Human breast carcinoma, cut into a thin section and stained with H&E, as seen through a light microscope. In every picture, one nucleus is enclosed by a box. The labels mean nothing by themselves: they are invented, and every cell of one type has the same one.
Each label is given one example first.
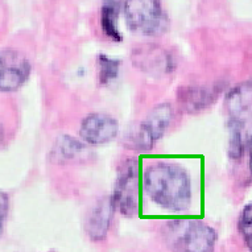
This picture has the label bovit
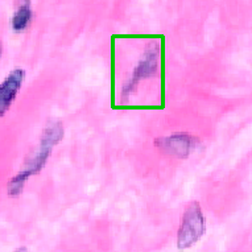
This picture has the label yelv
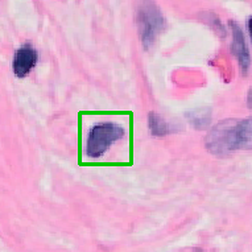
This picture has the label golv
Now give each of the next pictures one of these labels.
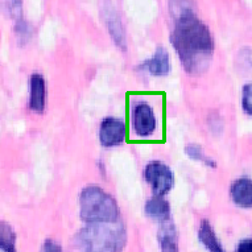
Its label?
golv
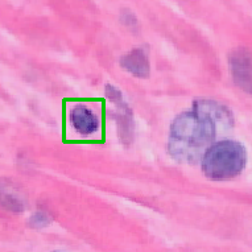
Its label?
golv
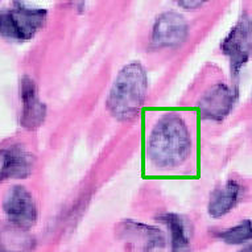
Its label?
bovit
